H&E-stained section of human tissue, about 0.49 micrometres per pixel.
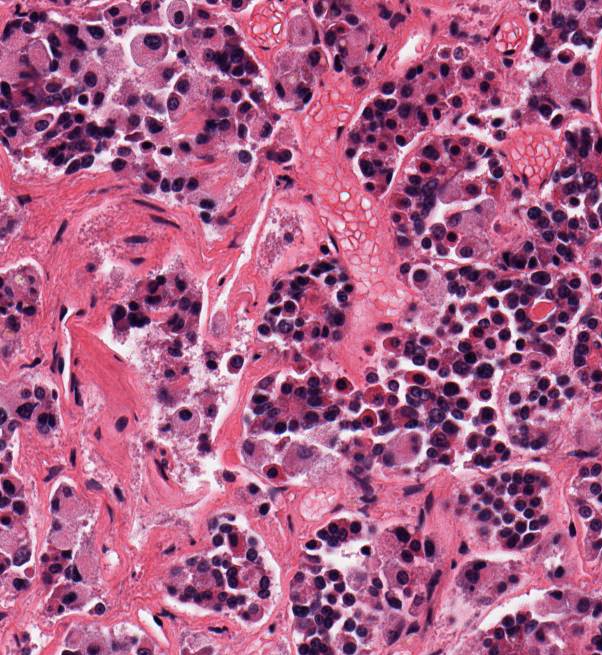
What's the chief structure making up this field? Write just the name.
pars distalis of the pituitary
